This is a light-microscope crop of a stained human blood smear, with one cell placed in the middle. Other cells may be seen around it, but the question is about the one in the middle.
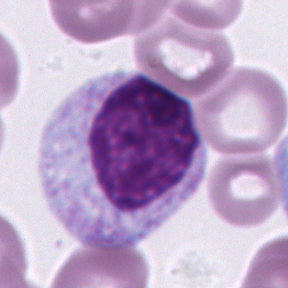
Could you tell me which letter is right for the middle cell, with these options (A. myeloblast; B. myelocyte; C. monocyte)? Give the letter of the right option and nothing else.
B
